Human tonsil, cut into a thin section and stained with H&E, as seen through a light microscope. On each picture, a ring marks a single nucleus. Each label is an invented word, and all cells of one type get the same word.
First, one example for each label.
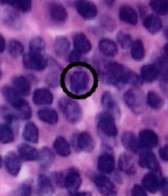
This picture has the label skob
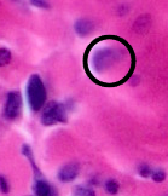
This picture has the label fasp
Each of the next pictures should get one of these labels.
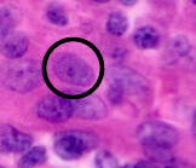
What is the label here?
fasp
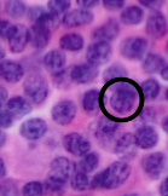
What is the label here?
skob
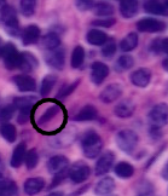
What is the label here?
fasp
